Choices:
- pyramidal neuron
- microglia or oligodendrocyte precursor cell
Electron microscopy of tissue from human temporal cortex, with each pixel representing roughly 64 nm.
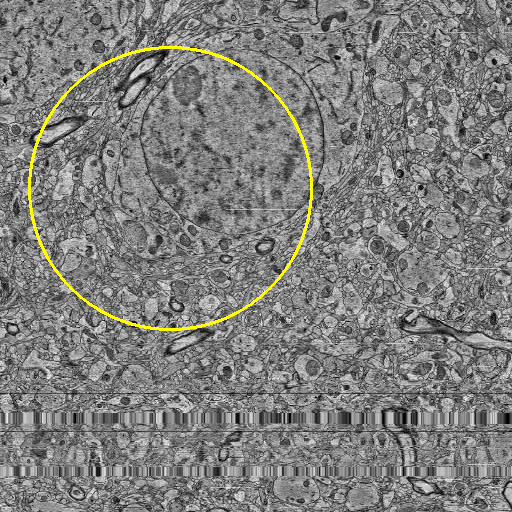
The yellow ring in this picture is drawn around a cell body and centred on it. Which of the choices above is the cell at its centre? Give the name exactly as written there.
pyramidal neuron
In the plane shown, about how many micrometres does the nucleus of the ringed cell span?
Roughly 12 micrometres across for the nucleus, in this plane.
